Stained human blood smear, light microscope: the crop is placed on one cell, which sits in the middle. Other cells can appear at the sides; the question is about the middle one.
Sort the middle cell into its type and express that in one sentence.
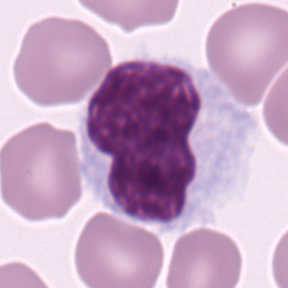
As for the central cell, it is a hairy cell.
